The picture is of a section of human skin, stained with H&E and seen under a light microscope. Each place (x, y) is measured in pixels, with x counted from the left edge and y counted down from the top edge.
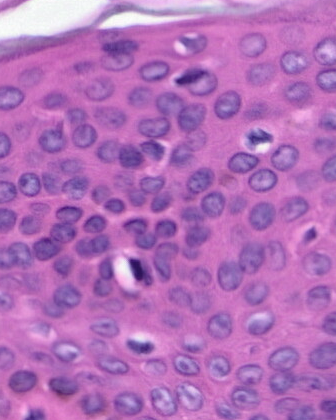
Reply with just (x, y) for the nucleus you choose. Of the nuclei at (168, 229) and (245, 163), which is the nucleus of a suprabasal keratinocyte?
(245, 163)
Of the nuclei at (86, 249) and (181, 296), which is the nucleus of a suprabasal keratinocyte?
(181, 296)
